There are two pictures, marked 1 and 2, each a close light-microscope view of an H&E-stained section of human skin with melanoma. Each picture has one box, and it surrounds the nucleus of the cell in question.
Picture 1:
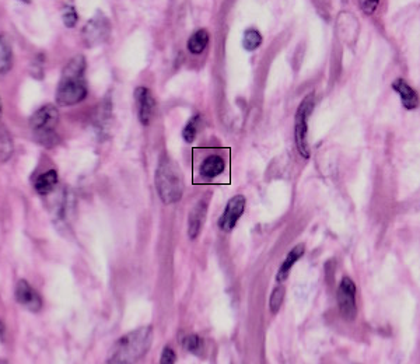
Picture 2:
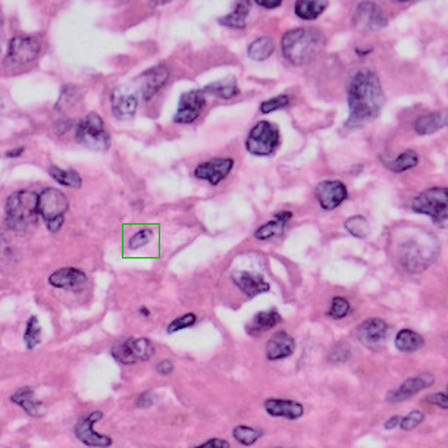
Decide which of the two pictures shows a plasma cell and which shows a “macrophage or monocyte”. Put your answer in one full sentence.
Picture 1 is of a plasma cell, and picture 2 is of a “macrophage or monocyte”.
